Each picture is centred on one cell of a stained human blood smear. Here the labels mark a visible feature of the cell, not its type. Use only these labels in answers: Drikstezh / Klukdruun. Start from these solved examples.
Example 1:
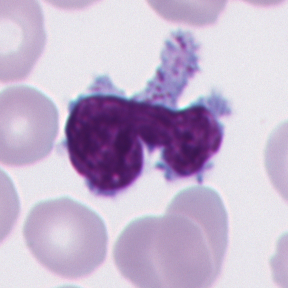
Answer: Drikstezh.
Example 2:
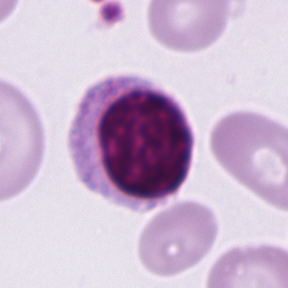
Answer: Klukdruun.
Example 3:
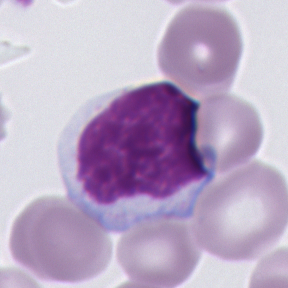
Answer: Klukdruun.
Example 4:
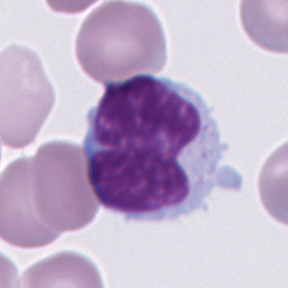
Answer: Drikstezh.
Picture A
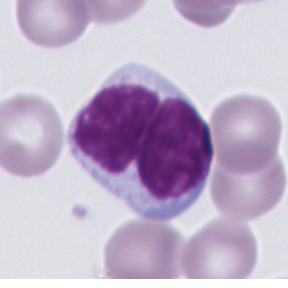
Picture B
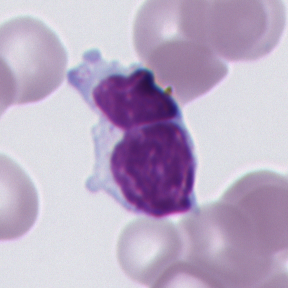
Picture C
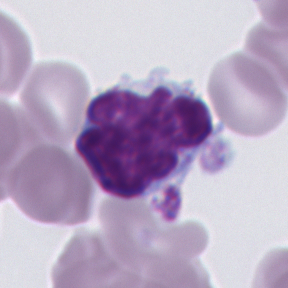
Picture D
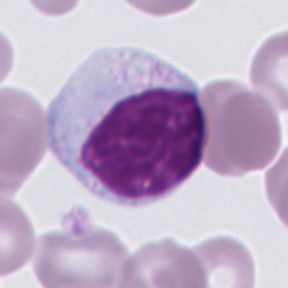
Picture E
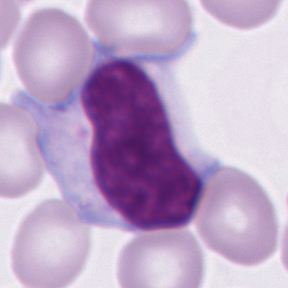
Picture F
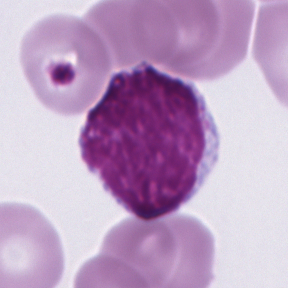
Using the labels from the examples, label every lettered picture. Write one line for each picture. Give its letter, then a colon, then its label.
A: Drikstezh.
B: Drikstezh.
C: Drikstezh.
D: Klukdruun.
E: Klukdruun.
F: Klukdruun.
